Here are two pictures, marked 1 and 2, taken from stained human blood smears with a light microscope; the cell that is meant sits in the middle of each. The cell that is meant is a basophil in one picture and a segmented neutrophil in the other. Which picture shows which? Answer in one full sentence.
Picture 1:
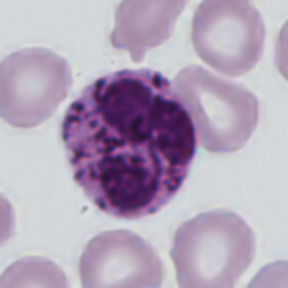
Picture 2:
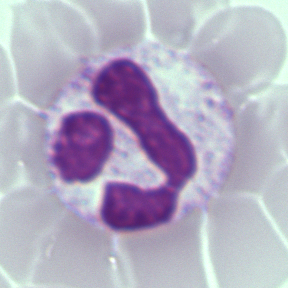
In picture 1 the cell is a basophil; in picture 2, a segmented neutrophil.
